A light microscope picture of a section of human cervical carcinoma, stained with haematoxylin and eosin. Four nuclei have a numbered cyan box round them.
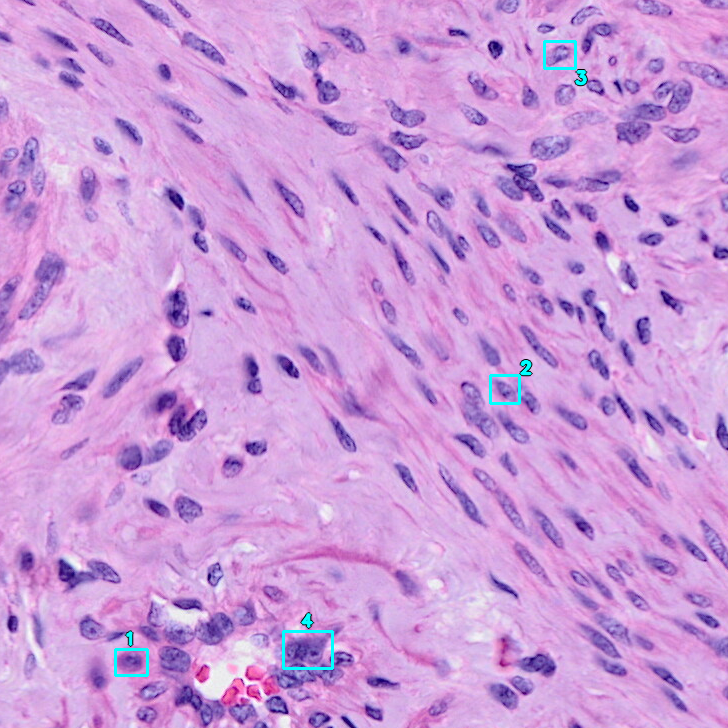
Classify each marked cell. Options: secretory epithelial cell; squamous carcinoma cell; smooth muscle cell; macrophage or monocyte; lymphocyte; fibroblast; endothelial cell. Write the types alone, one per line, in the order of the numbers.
smooth muscle cell
smooth muscle cell
smooth muscle cell
endothelial cell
